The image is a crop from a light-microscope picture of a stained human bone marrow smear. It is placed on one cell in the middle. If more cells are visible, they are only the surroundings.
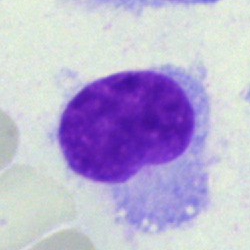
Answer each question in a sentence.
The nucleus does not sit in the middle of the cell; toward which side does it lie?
The nucleus sits off-centre, toward the upper left.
